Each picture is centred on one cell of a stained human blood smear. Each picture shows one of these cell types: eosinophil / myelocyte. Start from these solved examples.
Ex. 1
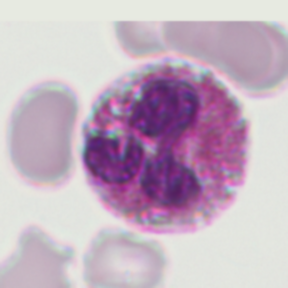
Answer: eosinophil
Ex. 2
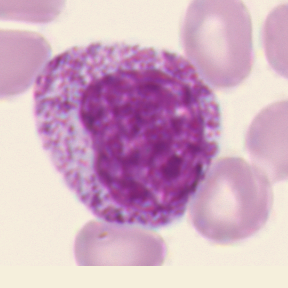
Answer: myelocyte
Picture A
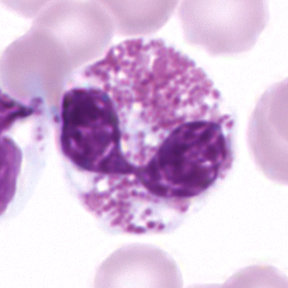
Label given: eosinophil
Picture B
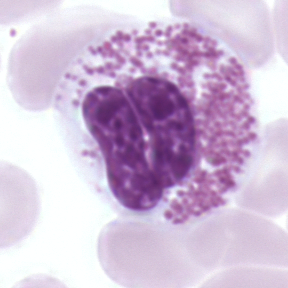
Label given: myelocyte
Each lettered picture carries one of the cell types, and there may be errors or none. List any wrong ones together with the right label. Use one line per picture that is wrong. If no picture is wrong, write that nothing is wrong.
B is labelled myelocyte; correct label: eosinophil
